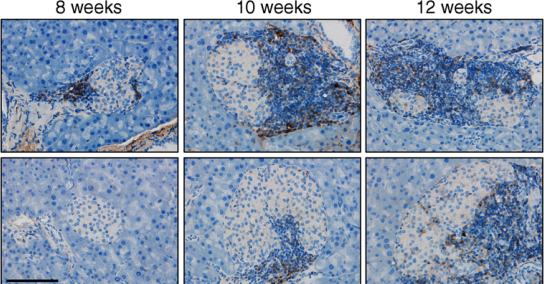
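These are sections of pancreas with islets surrounded by exocrine tissue, counterstained blue. The islets appear as pale rounded areas of lightly stained cells. Around and within several islets lie crowded masses of small round cells with dark-blue nuclei, an immune infiltrate. Many of these infiltrating cells carry brown staining, gathered mostly at the edge of the islet and spreading into it where the infiltrate is heavy. Some islets show only a small cuff of such cells at one pole, while in others the infiltrate occupies much of the islet area. The surrounding acinar tissue is largely free of brown cells.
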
